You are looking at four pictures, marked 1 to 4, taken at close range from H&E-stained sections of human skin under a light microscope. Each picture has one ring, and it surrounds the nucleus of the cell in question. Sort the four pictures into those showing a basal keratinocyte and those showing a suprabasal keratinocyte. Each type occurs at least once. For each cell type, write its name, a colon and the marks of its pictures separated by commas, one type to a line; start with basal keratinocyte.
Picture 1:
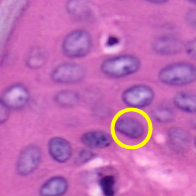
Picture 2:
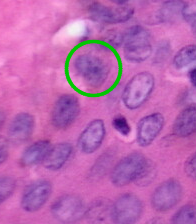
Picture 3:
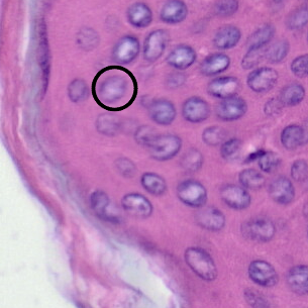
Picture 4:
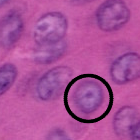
basal keratinocyte: 1, 2
suprabasal keratinocyte: 3, 4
